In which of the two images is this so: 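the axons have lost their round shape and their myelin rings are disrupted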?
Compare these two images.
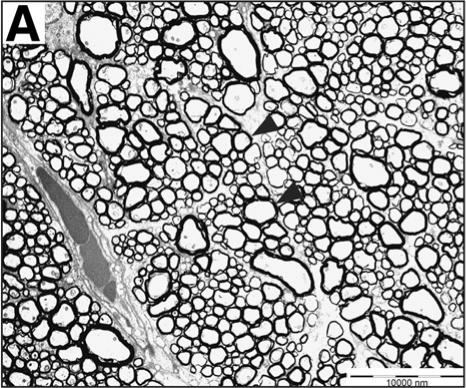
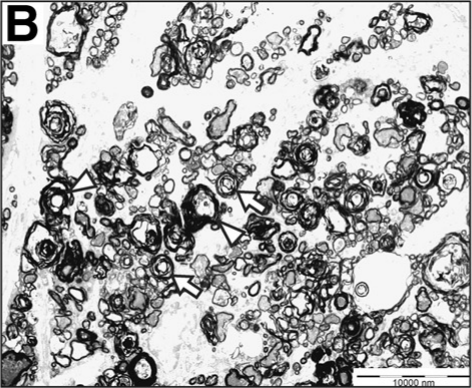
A: The second image.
